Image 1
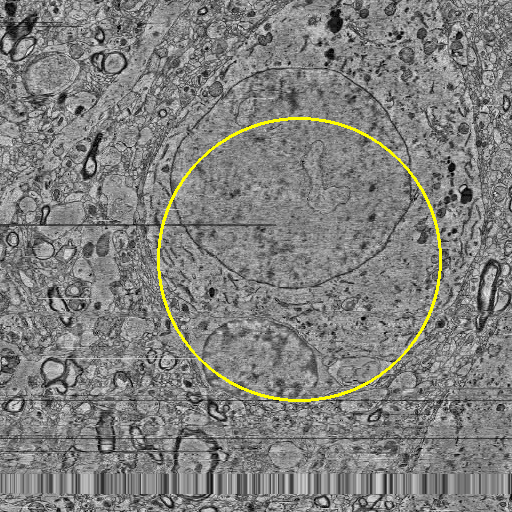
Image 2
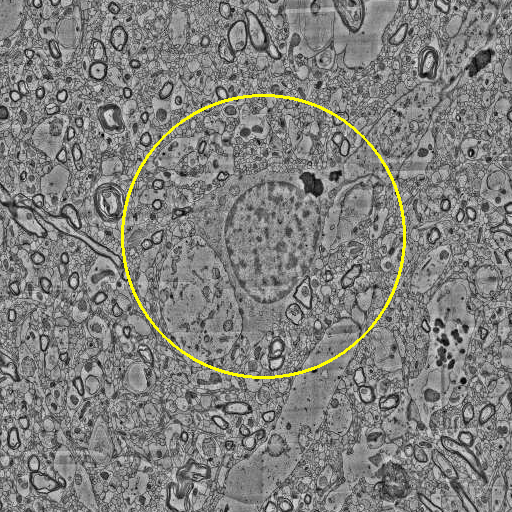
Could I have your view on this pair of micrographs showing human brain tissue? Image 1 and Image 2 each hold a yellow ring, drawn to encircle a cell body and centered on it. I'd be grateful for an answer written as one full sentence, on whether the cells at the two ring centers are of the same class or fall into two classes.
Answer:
The cells at the centers of the two rings fall into two classes.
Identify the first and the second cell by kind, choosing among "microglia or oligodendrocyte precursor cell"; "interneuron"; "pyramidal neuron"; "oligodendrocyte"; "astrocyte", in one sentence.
The one in the first picture is a pyramidal neuron, while the one in the second is an oligodendrocyte.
